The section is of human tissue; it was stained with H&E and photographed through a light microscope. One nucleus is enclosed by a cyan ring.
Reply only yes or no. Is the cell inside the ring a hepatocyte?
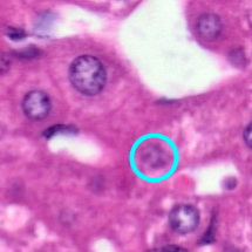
yes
